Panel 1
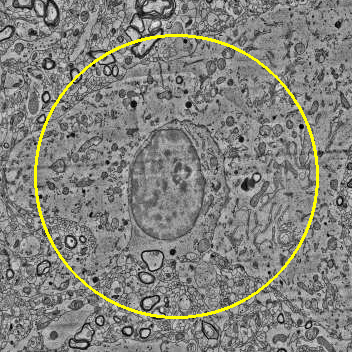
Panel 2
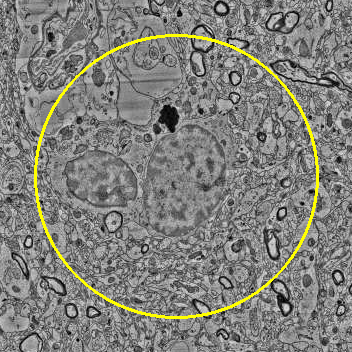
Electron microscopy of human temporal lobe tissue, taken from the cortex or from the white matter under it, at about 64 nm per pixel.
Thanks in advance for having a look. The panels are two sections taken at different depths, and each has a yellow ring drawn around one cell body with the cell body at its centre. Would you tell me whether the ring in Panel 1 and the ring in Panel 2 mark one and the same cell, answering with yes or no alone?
no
